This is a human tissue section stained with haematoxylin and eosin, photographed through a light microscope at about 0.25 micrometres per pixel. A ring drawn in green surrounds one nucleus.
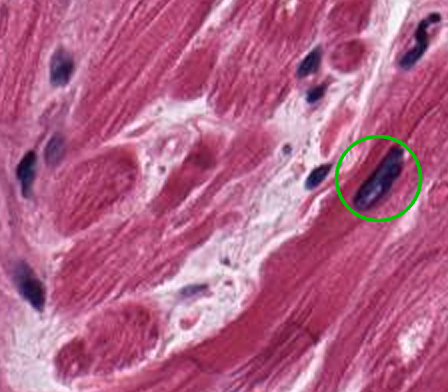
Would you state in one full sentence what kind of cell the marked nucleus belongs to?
The mark falls on a nucleus belonging to a cardiomyocyte.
